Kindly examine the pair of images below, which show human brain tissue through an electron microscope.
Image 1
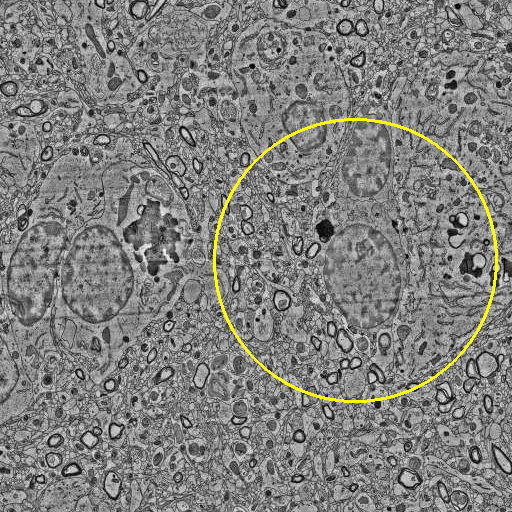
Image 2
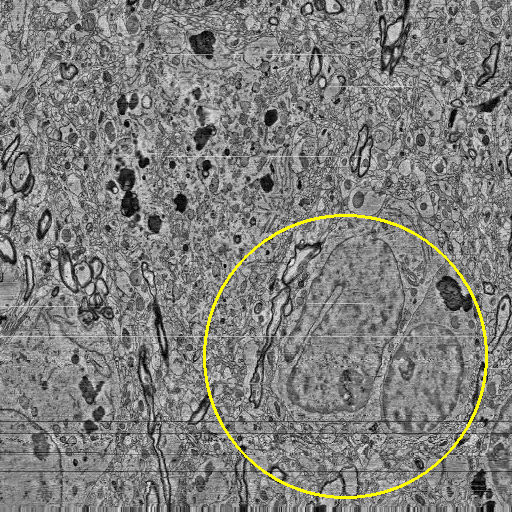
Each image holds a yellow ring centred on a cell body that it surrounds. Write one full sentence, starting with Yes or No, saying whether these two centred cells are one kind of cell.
No, the cells at the centres of the yellow rings belong to two kinds of cell.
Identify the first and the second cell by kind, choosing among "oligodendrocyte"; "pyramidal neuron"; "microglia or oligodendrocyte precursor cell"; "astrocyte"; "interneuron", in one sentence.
The one in the first picture is an oligodendrocyte, while the one in the second is an interneuron.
